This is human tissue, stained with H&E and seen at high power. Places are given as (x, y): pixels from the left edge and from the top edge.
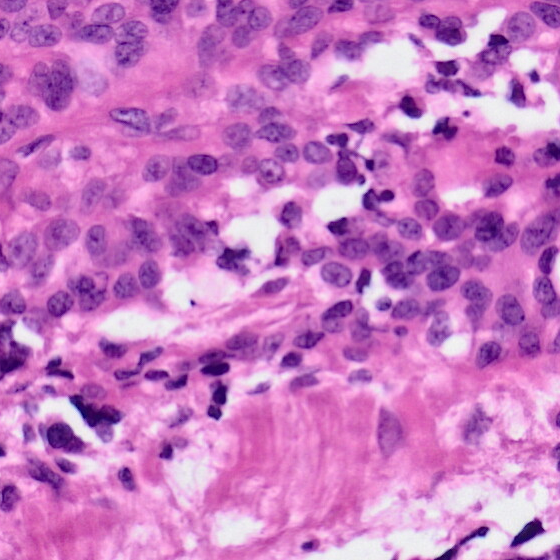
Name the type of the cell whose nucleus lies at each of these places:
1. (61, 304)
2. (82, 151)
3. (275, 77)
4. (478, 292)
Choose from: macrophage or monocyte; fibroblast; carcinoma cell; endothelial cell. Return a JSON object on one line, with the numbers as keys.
{"1": "carcinoma cell", "2": "macrophage or monocyte", "3": "carcinoma cell", "4": "carcinoma cell"}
